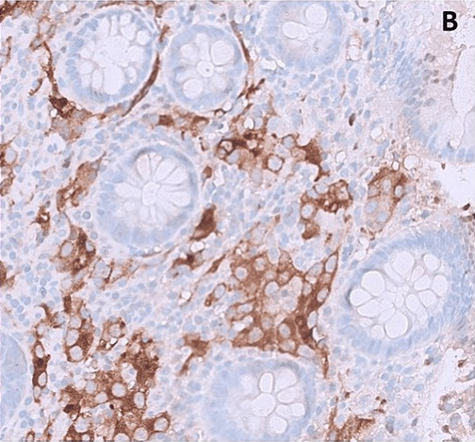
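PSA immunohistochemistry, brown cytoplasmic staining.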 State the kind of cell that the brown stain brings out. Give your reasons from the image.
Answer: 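Brown-stained cells lie in clusters between the unstained glands. The brown colour fills the cytoplasm of these cells. That points to this answer: neoplastic cells.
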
